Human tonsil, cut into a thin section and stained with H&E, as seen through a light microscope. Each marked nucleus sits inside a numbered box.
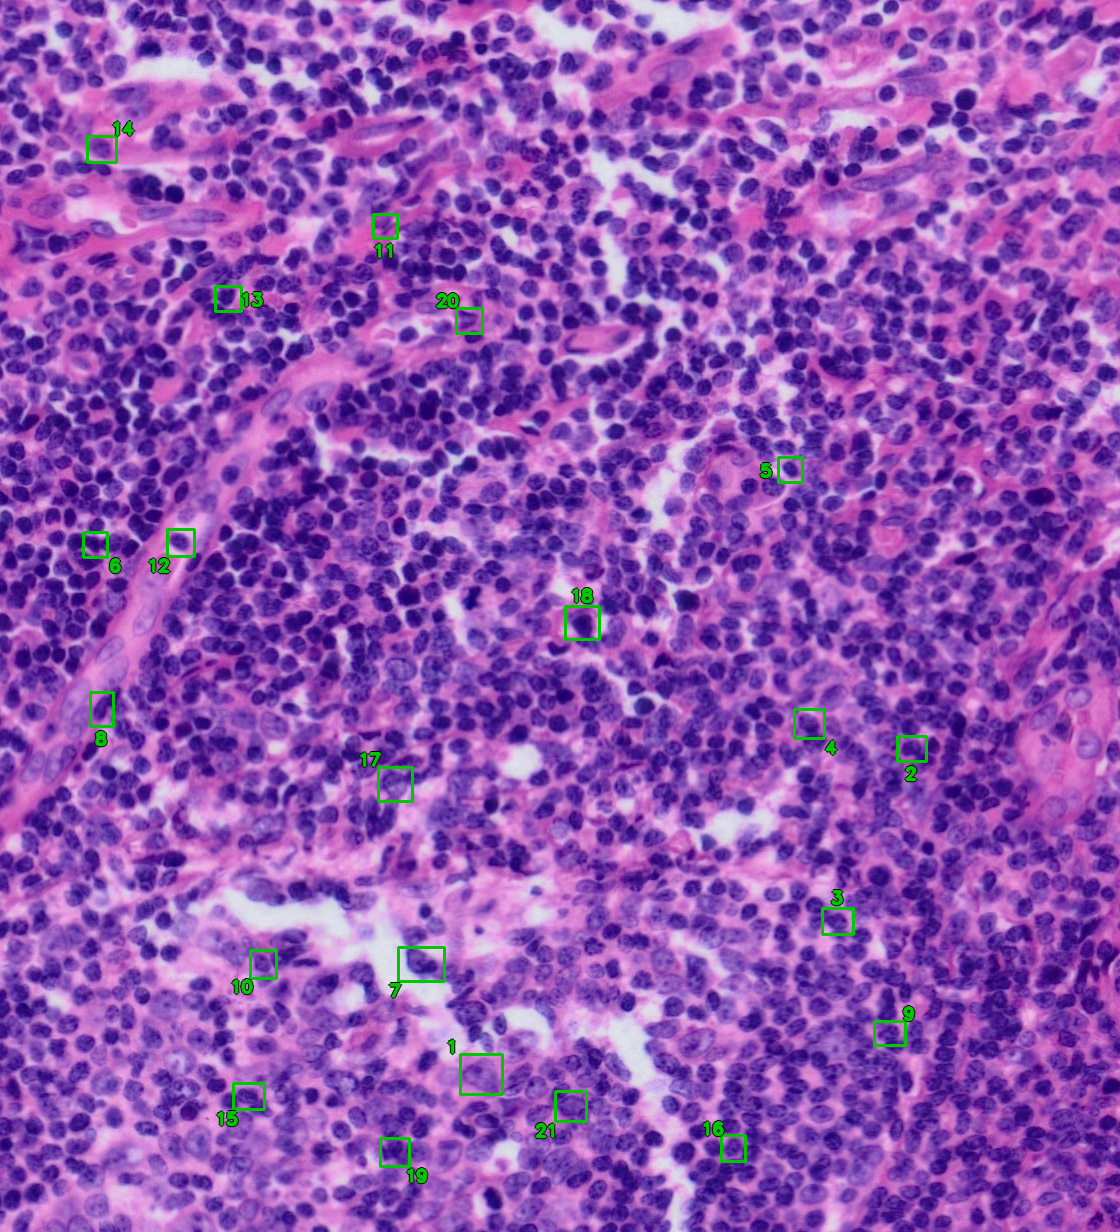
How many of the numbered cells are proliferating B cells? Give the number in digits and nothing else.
8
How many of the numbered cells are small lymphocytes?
8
